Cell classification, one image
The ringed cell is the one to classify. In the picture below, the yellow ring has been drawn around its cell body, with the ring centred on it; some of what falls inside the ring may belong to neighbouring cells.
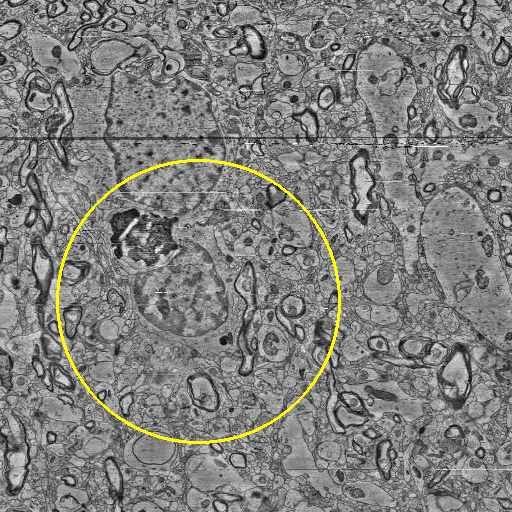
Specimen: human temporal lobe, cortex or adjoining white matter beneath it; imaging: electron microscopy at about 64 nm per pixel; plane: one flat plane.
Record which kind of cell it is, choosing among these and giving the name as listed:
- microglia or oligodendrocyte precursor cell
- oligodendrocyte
oligodendrocyte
